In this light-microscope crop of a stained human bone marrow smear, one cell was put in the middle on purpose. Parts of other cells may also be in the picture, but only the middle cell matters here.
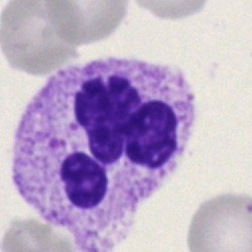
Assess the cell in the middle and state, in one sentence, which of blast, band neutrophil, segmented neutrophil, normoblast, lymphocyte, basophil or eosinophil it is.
What the crop centres on is a segmented neutrophil.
